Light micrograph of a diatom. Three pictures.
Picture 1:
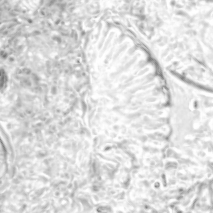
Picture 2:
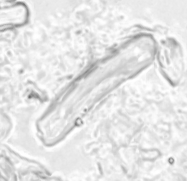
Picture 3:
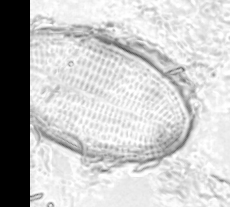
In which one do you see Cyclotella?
In picture 1.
